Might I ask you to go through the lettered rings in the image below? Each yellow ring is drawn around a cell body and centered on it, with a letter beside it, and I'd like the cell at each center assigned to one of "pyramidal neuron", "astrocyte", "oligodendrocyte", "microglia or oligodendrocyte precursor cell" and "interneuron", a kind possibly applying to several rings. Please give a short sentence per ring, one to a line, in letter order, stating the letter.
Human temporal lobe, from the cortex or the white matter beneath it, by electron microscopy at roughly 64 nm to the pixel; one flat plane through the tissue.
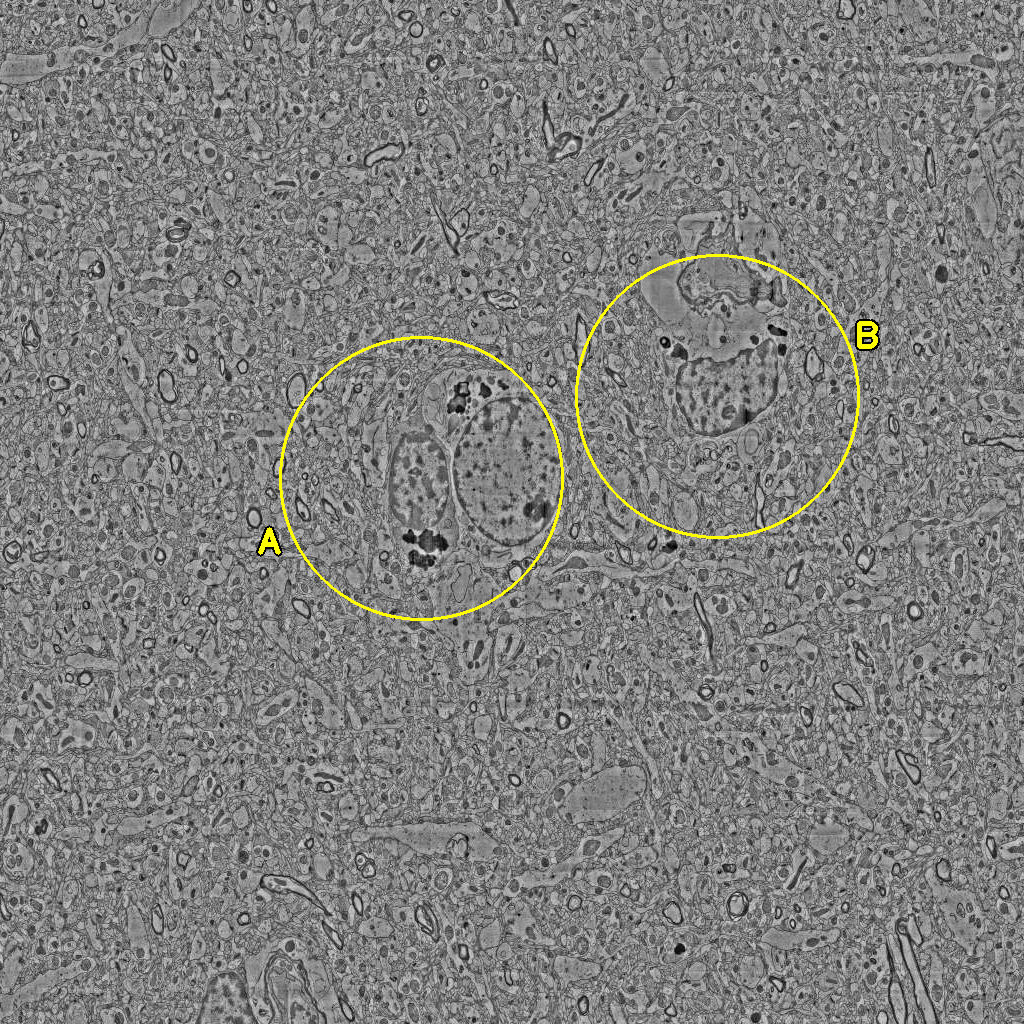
Ring A is centered on the body of an oligodendrocyte.
Ring B is centered on the body of a microglial cell or oligodendrocyte precursor cell.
